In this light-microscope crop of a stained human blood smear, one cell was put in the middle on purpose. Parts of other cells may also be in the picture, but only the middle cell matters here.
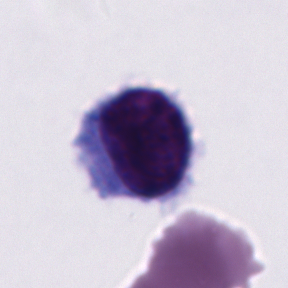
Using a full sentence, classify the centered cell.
In the crop, the cell of interest at the centre is a hairy cell.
